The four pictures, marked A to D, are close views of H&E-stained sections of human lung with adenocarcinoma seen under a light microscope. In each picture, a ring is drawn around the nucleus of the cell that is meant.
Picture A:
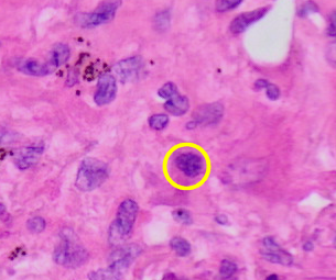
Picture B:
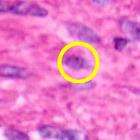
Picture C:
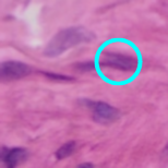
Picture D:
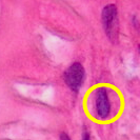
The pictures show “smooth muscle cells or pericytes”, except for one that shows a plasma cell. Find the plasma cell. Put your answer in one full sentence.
Picture A shows the plasma cell.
